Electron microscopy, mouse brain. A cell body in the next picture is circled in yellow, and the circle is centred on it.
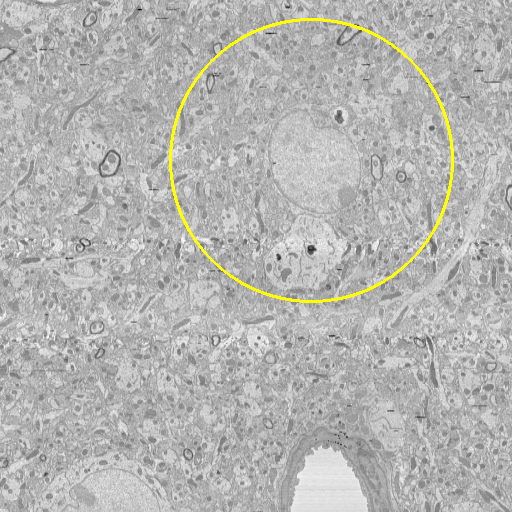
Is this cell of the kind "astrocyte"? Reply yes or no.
yes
